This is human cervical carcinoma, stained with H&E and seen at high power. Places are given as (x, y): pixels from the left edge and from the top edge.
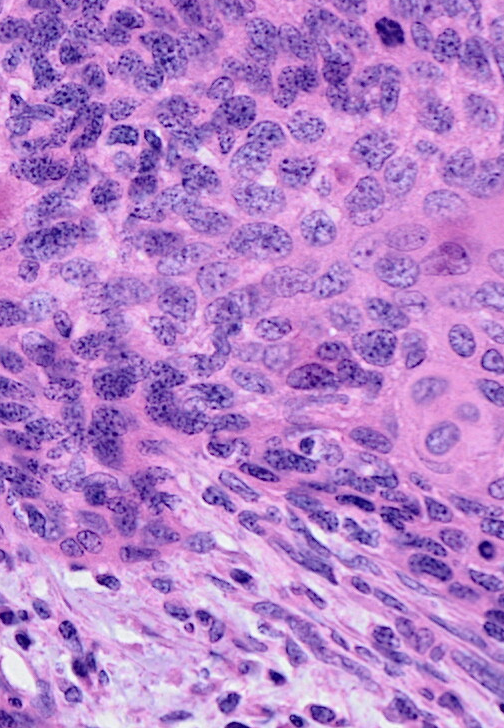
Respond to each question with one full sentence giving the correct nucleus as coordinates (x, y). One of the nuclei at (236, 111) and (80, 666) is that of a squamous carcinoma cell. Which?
As for which of the two, the nucleus at (236, 111) belongs to a squamous carcinoma cell.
